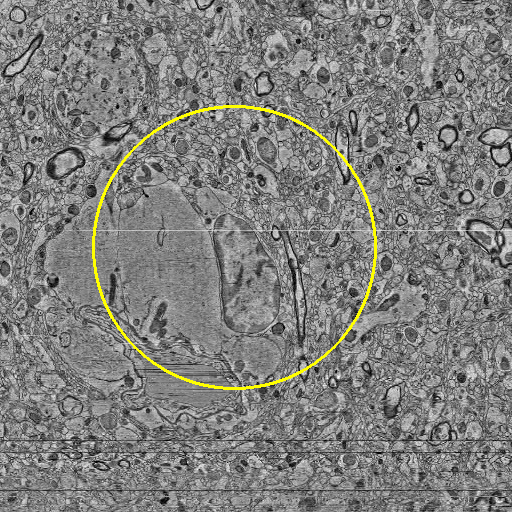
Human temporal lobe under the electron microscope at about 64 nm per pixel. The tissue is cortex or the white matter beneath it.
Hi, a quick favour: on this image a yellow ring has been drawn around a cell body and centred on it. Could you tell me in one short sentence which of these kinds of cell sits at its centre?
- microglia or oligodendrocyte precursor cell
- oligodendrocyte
The ring is centred on a microglial cell or oligodendrocyte precursor cell.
